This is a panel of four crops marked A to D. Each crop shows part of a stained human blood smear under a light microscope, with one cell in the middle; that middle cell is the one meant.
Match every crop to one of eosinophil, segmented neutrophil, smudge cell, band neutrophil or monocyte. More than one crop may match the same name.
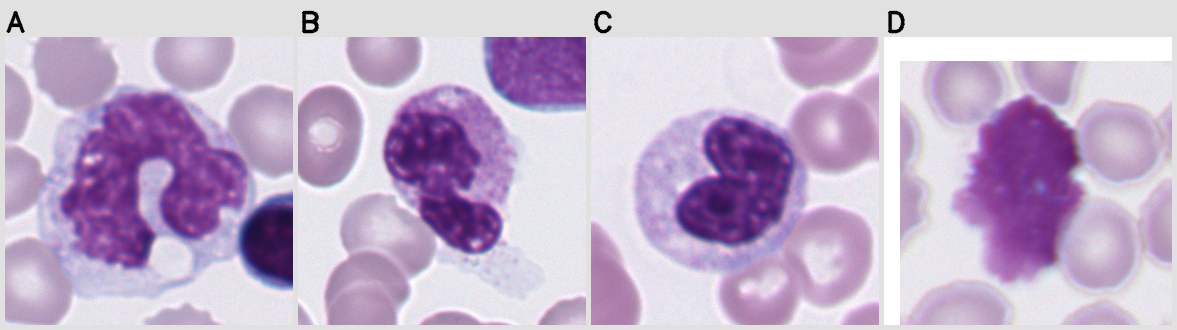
A: monocyte
B: segmented neutrophil
C: band neutrophil
D: smudge cell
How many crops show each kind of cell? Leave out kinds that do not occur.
monocyte: 1
segmented neutrophil: 1
band neutrophil: 1
smudge cell: 1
